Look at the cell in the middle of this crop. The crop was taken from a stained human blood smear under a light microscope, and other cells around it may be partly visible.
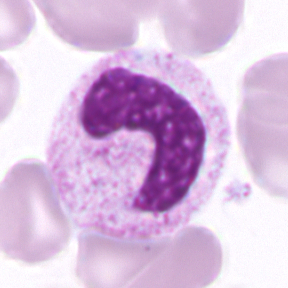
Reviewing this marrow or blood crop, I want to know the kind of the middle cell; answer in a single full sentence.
The central element of this crop is a cell, namely a band neutrophil.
